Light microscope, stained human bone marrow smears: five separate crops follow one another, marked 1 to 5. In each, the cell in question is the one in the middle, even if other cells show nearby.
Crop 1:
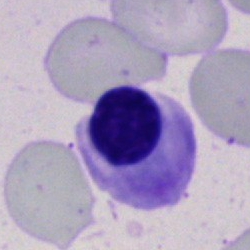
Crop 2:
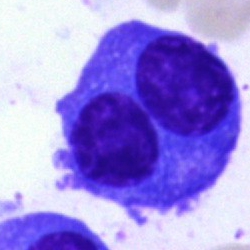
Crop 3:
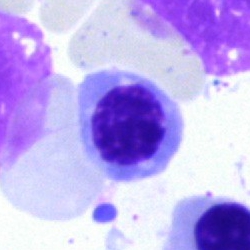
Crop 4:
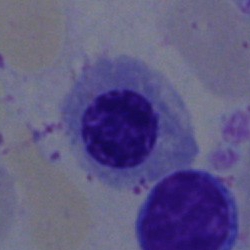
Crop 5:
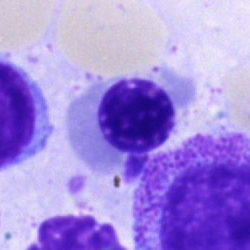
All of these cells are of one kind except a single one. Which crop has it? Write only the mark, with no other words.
2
